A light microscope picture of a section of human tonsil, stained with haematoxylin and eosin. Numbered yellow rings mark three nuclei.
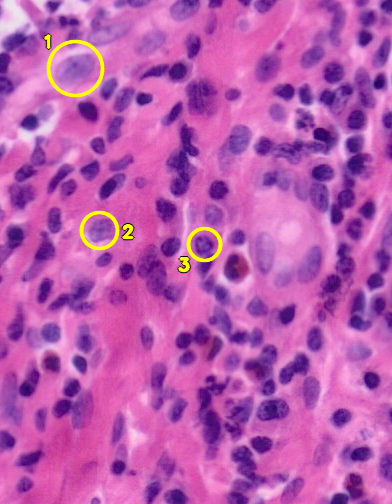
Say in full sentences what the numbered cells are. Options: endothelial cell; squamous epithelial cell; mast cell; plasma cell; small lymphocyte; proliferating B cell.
Cells 1 and 2 are endothelial cells. Cell 3 is a plasma cell.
